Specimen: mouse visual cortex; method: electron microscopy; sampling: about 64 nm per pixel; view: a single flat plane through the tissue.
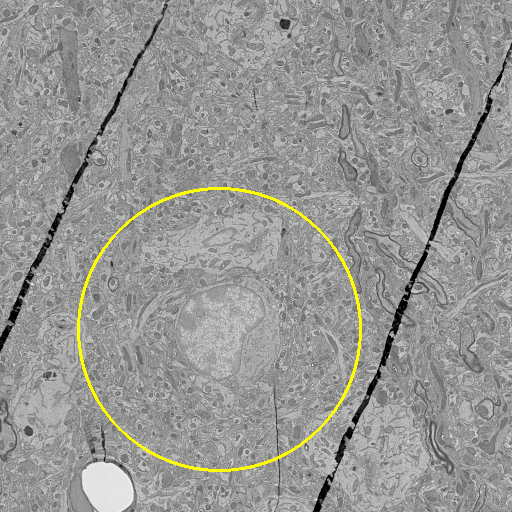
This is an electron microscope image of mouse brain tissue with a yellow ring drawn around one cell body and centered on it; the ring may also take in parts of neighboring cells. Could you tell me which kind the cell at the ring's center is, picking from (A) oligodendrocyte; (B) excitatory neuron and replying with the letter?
A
